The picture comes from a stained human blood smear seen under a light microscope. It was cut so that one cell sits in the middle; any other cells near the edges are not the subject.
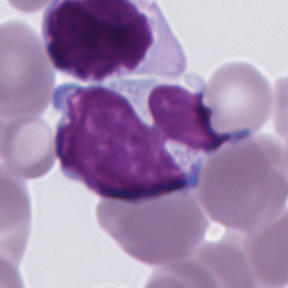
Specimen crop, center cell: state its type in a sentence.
The centrally located cell in the crop is a large granular lymphocyte.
